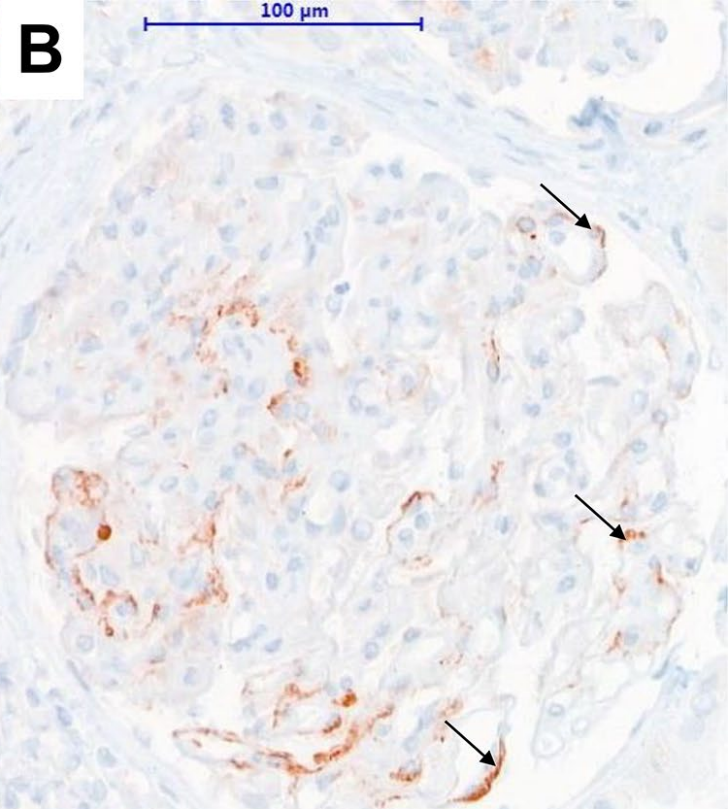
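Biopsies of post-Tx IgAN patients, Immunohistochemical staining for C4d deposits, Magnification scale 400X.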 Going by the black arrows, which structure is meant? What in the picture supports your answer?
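Peripheral capillary loops. The arrows point to brown-stained segments at the outer rim of a round tuft of loops. The stain lies along thin curved walls facing the surrounding clear space.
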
